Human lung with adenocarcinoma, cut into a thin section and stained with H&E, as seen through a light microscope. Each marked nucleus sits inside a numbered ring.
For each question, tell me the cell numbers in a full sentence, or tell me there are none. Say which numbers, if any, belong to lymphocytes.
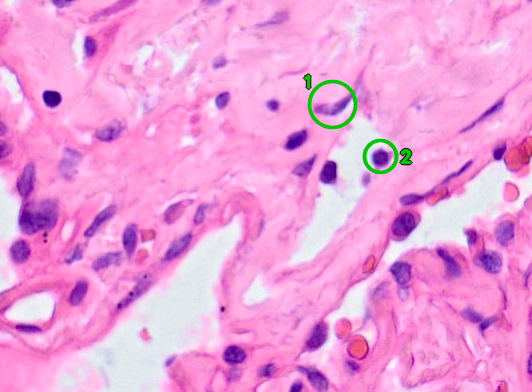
Of the numbered cells, only cell 2 is a lymphocyte.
